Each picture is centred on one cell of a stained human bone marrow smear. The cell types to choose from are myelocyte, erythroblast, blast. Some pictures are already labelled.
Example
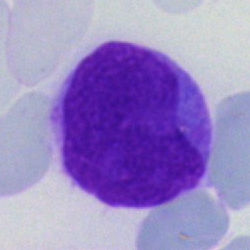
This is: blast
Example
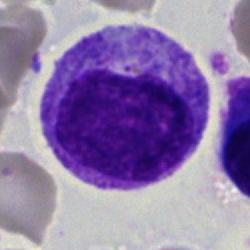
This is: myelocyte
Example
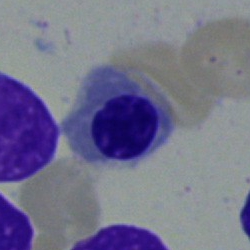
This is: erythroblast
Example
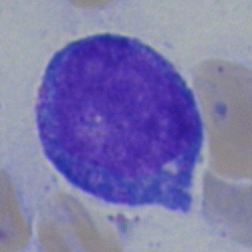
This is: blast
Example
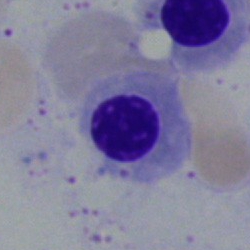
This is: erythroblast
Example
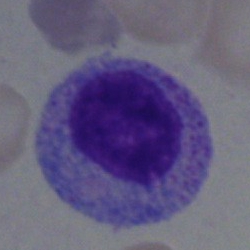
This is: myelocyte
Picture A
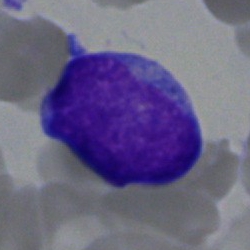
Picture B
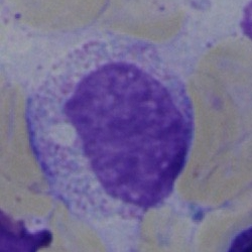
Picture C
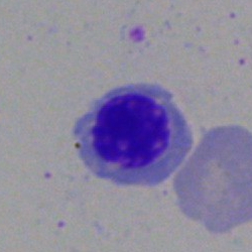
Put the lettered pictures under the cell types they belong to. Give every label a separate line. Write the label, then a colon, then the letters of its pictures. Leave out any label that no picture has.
myelocyte: B
erythroblast: C
blast: A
